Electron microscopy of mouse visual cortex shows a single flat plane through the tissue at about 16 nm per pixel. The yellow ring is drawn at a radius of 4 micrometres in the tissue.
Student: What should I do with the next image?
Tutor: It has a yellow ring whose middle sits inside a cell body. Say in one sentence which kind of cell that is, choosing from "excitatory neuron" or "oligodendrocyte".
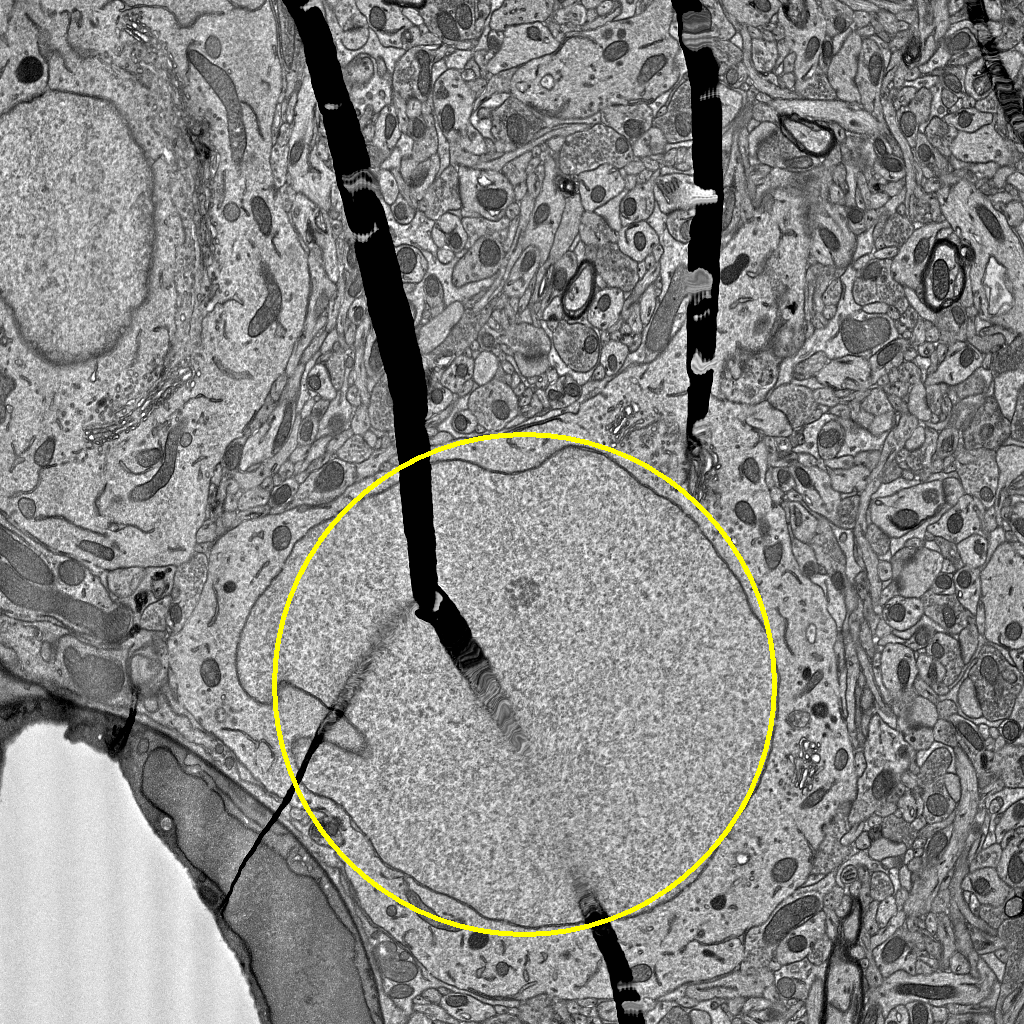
The ring's centre is occupied by an excitatory neuron.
